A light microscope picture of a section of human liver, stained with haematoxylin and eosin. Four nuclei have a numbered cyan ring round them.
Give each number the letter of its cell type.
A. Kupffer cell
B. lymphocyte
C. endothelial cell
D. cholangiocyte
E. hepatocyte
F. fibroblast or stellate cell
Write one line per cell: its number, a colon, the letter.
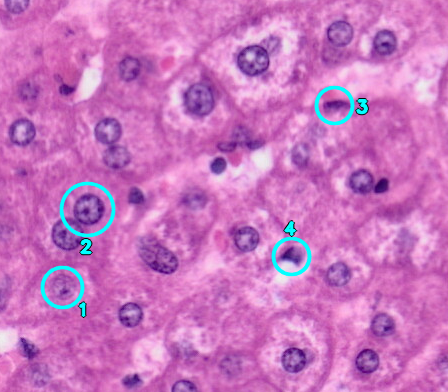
1: E
2: E
3: C
4: C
